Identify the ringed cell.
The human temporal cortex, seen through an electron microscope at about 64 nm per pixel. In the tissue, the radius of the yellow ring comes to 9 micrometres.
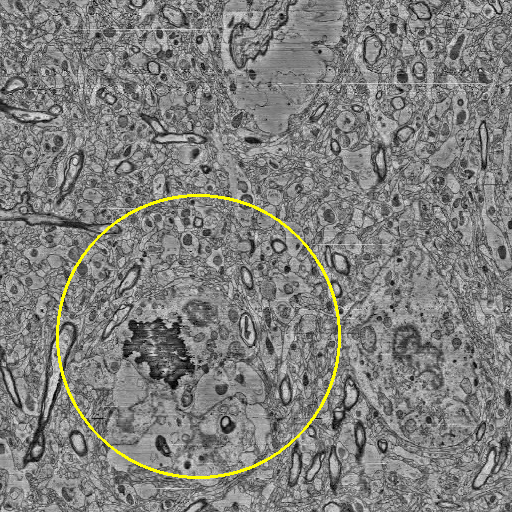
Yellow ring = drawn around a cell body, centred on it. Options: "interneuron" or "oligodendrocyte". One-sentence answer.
What the ring is centred on is an oligodendrocyte.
